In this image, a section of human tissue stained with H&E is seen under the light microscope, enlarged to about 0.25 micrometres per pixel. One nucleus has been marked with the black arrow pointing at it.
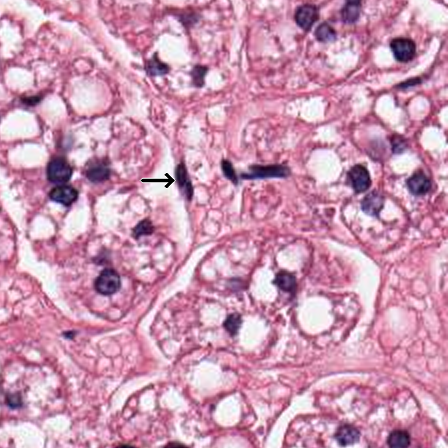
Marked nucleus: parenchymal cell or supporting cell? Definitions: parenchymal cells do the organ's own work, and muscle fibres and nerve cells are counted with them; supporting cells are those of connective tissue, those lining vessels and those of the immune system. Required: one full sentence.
It is to a supporting cell that the marked nucleus is assigned.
